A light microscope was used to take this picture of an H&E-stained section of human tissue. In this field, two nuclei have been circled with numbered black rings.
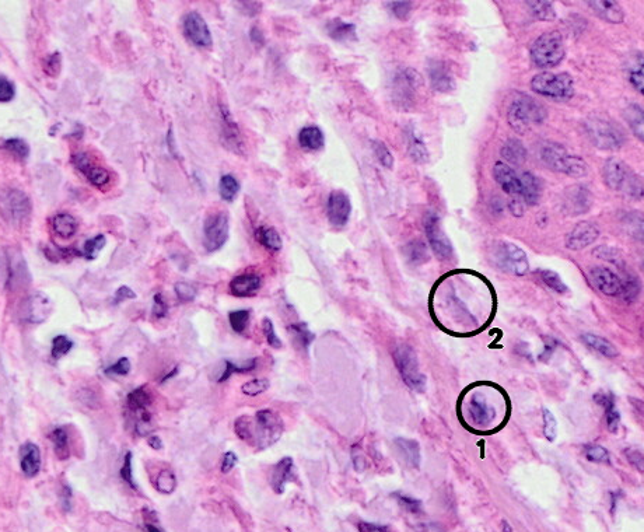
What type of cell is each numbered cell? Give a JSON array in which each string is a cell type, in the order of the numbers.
["lymphocyte", "fibroblast"]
